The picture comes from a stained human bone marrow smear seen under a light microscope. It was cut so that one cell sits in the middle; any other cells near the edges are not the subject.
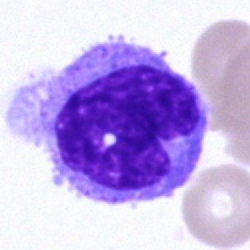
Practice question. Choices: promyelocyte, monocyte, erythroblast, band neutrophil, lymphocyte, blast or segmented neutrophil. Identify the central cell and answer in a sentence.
Classification of the middle cell gives a monocyte.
